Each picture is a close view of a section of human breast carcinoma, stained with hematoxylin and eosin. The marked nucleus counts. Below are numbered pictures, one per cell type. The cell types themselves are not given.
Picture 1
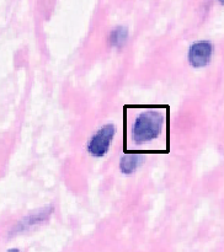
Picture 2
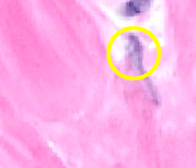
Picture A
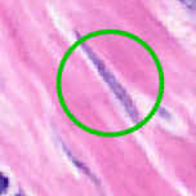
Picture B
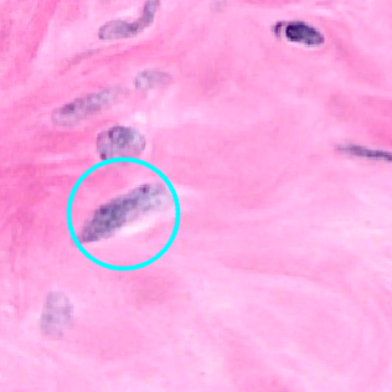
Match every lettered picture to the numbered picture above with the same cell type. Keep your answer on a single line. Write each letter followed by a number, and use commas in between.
A 2, B 2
